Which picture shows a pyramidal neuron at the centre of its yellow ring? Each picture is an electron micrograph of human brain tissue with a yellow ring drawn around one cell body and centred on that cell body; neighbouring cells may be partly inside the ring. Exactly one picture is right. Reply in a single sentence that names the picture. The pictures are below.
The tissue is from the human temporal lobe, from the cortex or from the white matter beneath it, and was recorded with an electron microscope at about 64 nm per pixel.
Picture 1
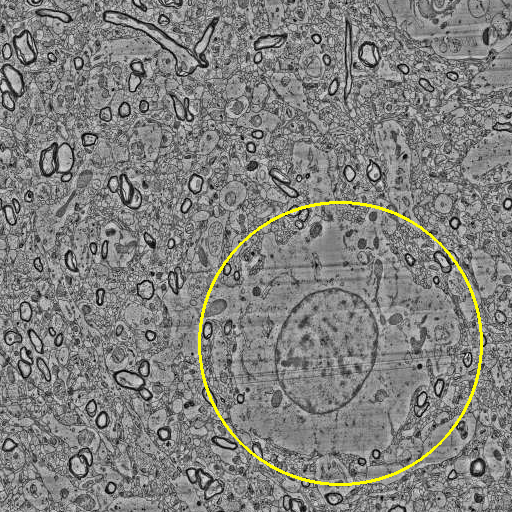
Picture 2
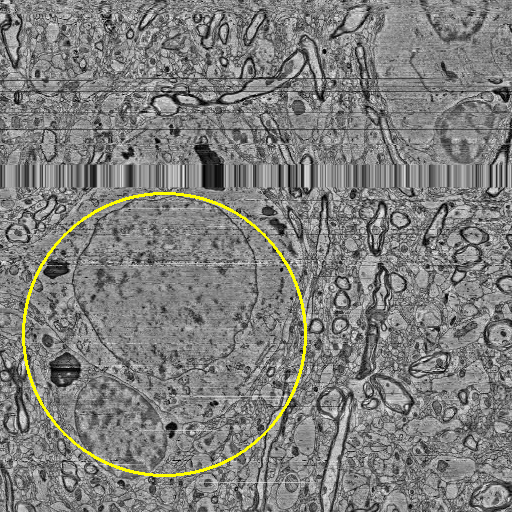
Picture 2 shows it.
